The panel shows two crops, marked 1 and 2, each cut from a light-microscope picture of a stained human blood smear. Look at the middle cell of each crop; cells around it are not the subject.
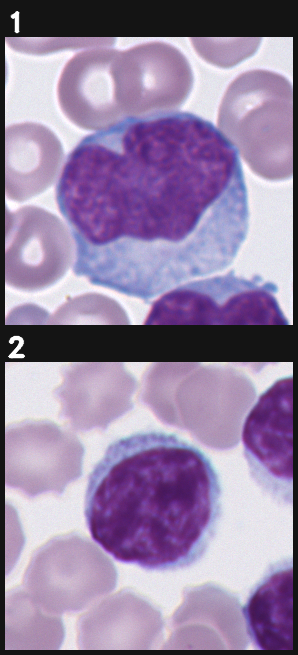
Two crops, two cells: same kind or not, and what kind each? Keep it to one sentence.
No, the cells are a myeloblast in crop 1 and a typical lymphocyte in crop 2.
